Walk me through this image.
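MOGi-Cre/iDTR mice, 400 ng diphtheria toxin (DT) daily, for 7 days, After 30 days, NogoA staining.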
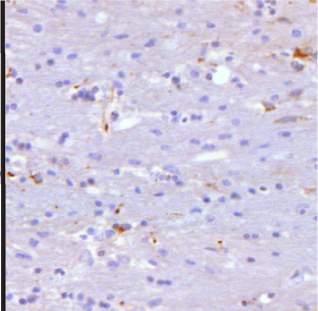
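A fibre tract in which most nuclei are blue and lack a brown cytoplasmic rim, so few oligodendrocytes stand out. Brown staining appears mainly as small scattered dots and a few irregular fragments, and the tissue looks looser, with small clear spaces among the fibres.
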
